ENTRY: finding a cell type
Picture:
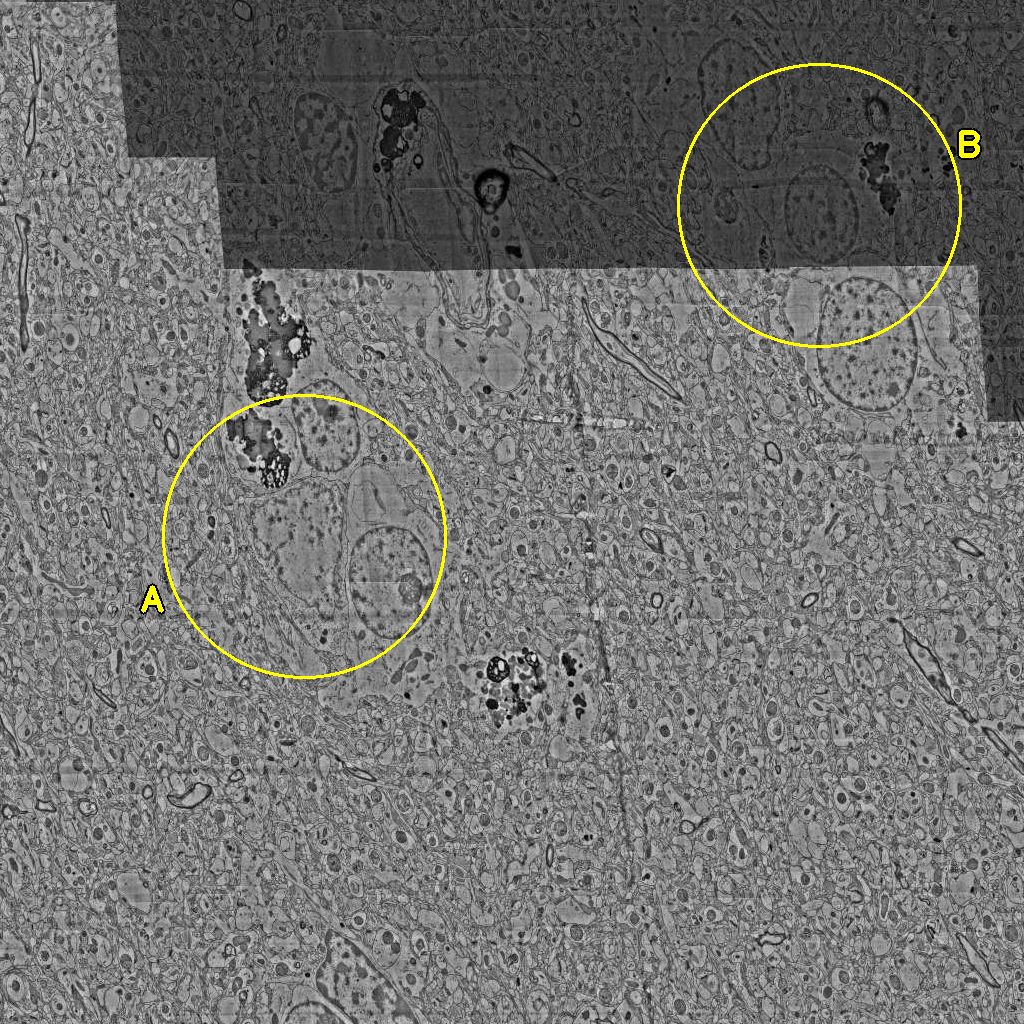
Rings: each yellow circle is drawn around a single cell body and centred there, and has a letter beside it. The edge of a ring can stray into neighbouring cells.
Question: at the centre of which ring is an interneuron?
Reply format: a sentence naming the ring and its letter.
The answer is ring A, the one centred on the cell asked for.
